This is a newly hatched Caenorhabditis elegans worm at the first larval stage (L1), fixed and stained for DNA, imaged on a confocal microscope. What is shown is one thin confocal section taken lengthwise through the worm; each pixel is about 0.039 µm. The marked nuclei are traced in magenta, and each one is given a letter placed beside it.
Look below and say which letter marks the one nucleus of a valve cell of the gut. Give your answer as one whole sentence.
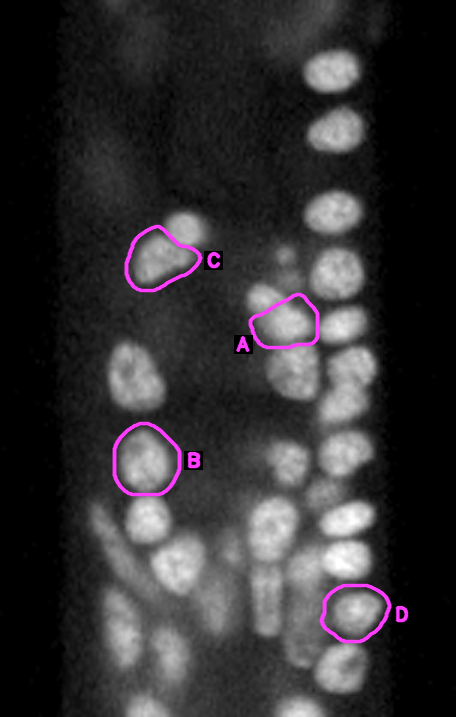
C is from a valve cell of the gut.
